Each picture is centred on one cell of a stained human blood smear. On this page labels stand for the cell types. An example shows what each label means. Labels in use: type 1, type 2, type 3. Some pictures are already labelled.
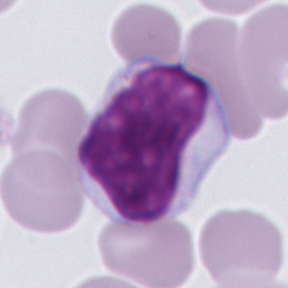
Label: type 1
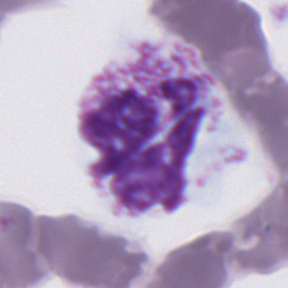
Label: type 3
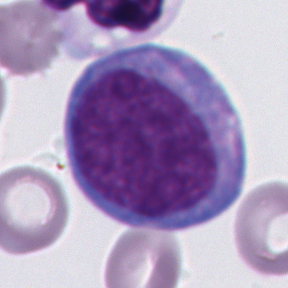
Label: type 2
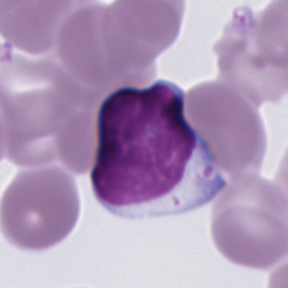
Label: type 1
